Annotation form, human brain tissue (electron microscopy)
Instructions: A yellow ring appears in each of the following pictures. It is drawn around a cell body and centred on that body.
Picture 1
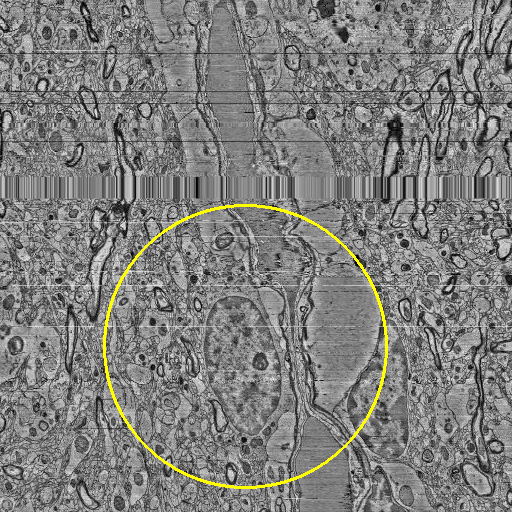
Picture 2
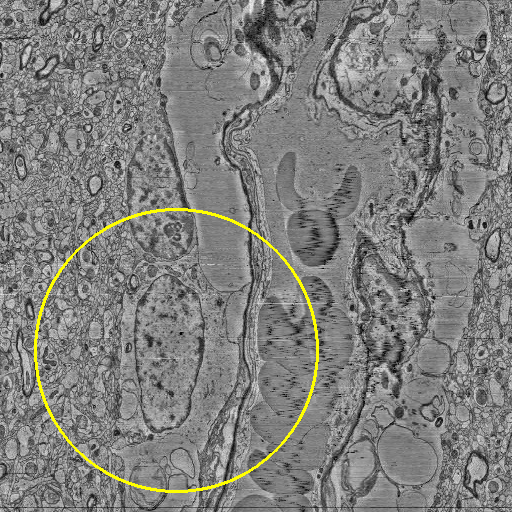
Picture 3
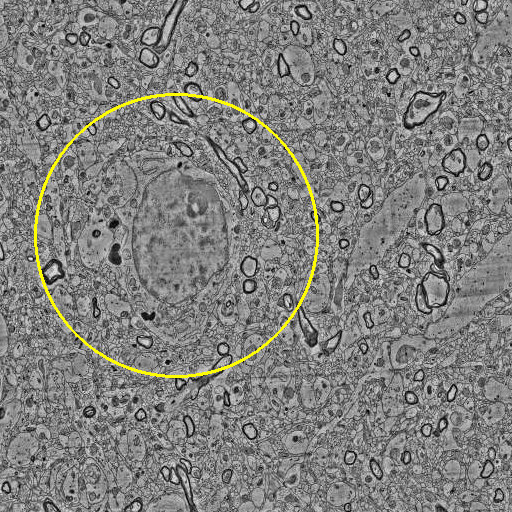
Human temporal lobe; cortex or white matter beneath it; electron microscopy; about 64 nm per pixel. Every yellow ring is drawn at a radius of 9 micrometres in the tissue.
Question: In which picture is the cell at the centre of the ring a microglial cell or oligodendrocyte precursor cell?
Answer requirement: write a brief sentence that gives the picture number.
The cell at the centre of the ring in Picture 2 is the one asked for.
